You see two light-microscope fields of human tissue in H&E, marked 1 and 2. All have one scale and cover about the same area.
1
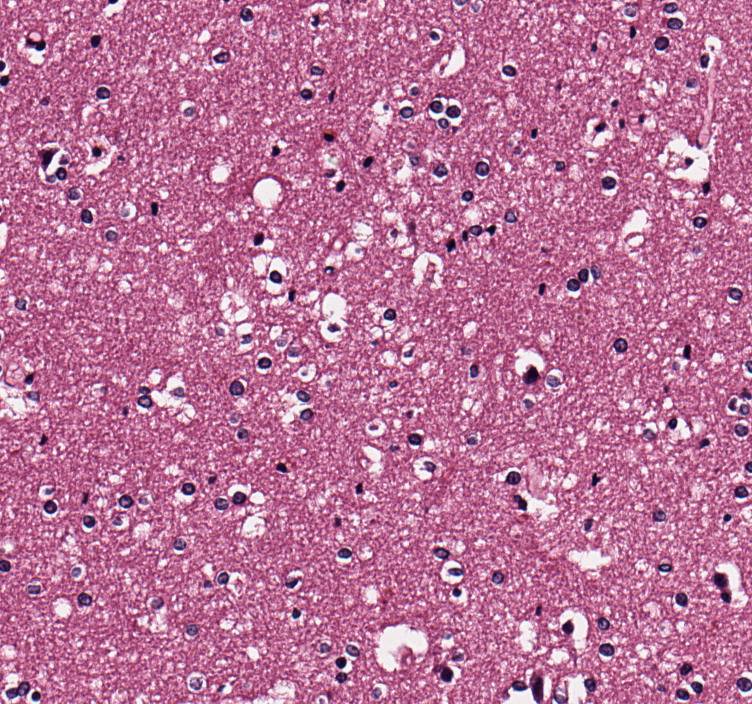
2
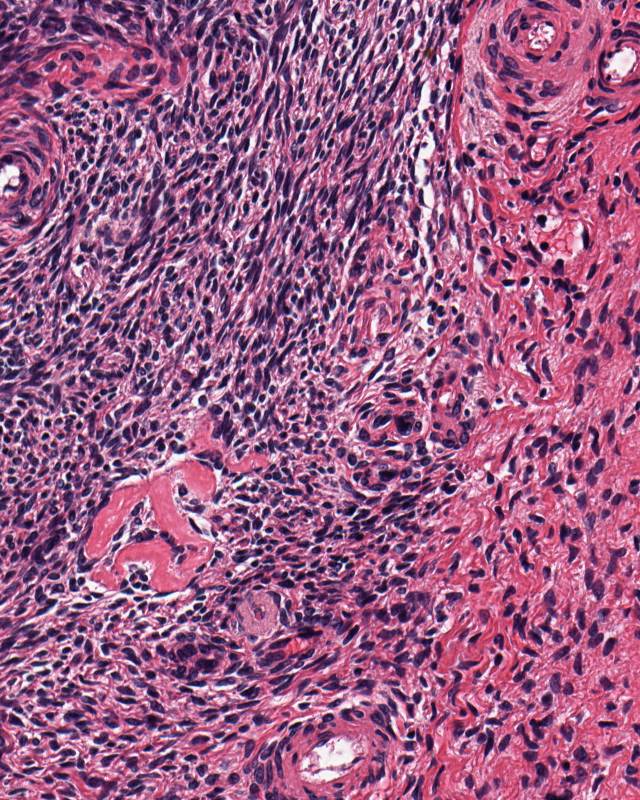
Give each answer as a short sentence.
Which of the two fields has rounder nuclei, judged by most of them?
The nuclei are rounder in picture 1.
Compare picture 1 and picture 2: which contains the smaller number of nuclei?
Fewer nuclei lie in picture 1 than in picture 2.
